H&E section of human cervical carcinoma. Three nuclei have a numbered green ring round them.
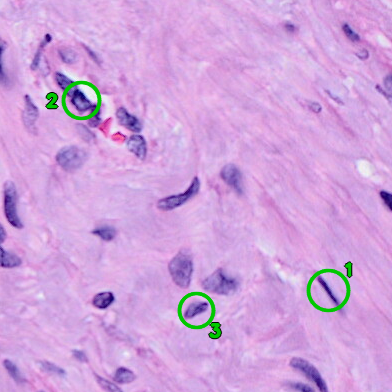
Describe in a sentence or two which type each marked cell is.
Cell 1 is a fibroblast, cell 2 is an endothelial cell and cell 3 is a fibroblast.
